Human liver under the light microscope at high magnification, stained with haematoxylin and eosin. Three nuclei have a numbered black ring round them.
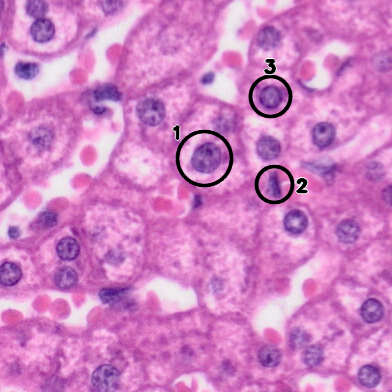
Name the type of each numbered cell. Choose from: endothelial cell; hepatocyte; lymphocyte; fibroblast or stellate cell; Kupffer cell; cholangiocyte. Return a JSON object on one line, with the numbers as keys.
{"1": "hepatocyte", "2": "endothelial cell", "3": "hepatocyte"}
